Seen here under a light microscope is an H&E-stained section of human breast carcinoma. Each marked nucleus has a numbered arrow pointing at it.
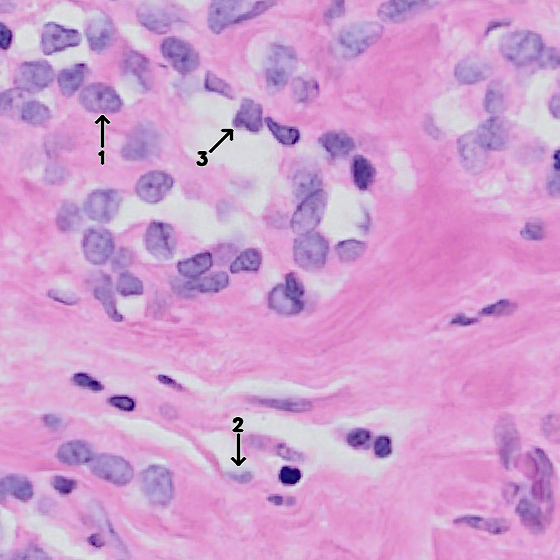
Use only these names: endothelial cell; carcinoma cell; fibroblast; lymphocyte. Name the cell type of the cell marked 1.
carcinoma cell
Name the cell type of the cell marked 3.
carcinoma cell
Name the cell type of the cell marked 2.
endothelial cell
